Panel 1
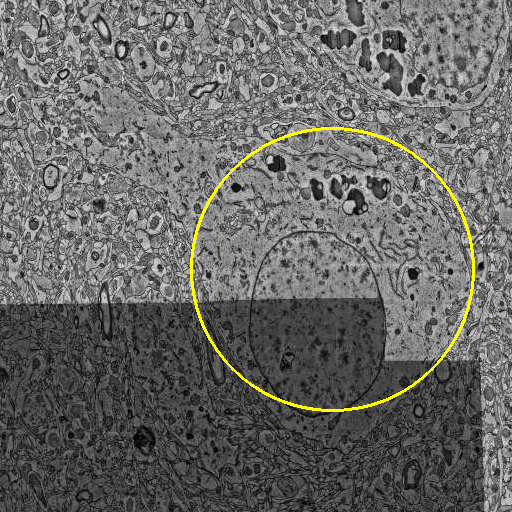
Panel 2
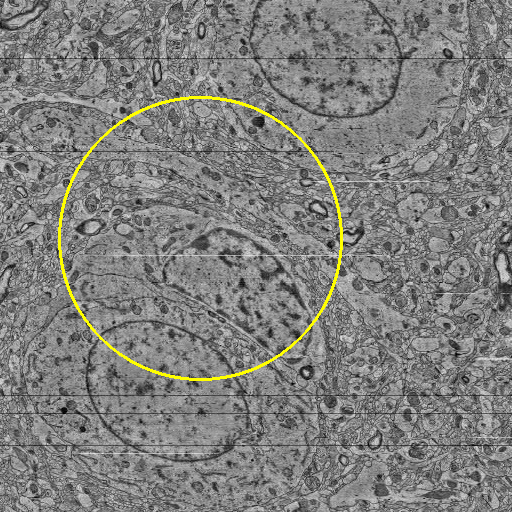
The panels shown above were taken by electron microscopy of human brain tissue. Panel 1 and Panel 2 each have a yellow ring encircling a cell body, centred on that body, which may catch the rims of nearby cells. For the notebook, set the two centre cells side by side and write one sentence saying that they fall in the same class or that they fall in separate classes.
The centred cells of Panel 1 and Panel 2 fall in separate classes.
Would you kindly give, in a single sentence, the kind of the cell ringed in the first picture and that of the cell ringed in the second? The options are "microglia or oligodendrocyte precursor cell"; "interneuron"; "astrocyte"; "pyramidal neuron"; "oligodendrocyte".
The second cell is a microglial cell or oligodendrocyte precursor cell, and the first cell is a pyramidal neuron.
